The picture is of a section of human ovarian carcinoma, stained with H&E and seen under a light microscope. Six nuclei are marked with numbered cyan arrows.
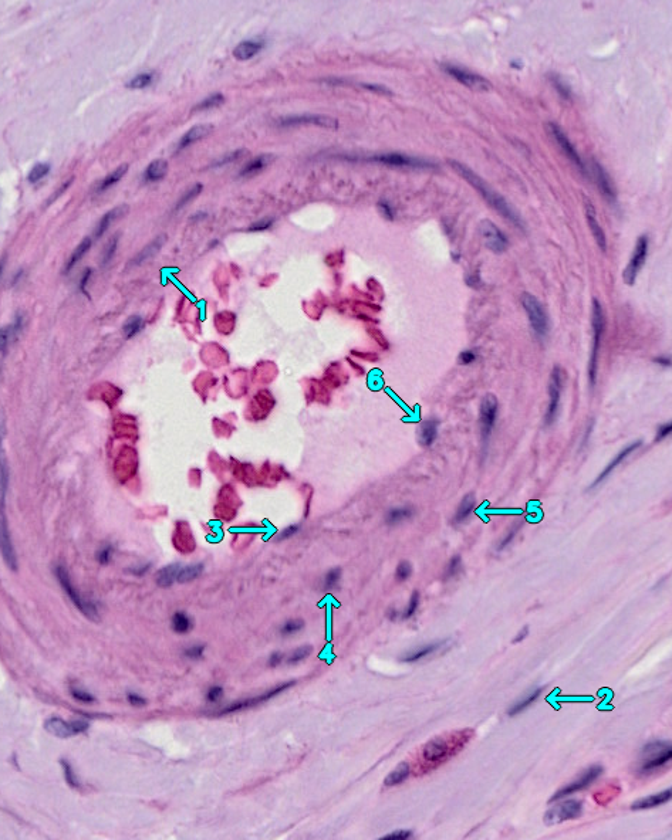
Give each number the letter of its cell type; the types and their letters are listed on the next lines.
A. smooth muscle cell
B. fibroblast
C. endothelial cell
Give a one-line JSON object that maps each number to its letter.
{"1": "A", "2": "B", "3": "C", "4": "A", "5": "A", "6": "C"}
